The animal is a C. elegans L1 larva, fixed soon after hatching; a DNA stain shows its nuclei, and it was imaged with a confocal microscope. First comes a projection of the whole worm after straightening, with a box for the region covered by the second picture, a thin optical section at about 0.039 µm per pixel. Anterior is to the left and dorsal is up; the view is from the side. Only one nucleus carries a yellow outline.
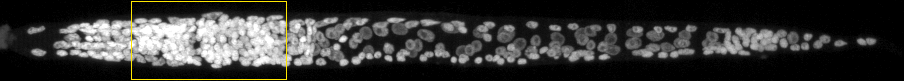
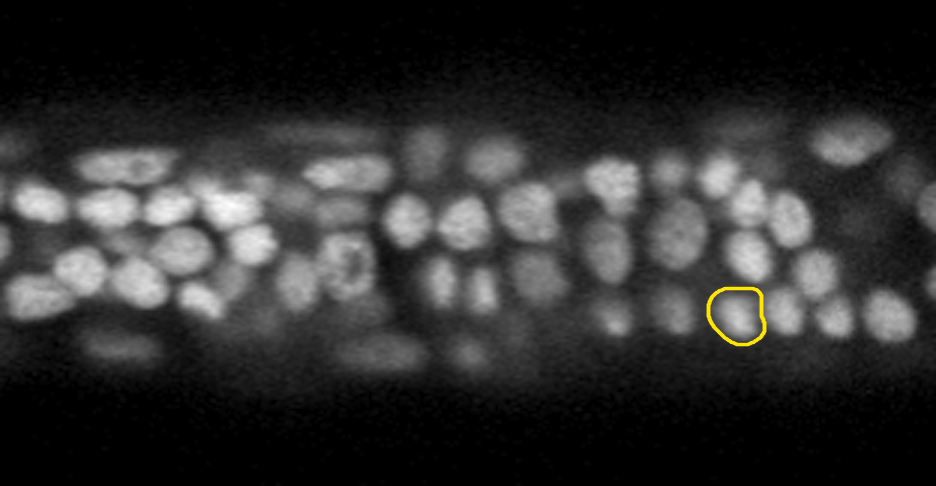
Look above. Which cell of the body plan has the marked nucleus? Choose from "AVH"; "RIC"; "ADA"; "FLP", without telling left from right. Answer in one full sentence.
It is the nucleus of RIC, a neuron.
